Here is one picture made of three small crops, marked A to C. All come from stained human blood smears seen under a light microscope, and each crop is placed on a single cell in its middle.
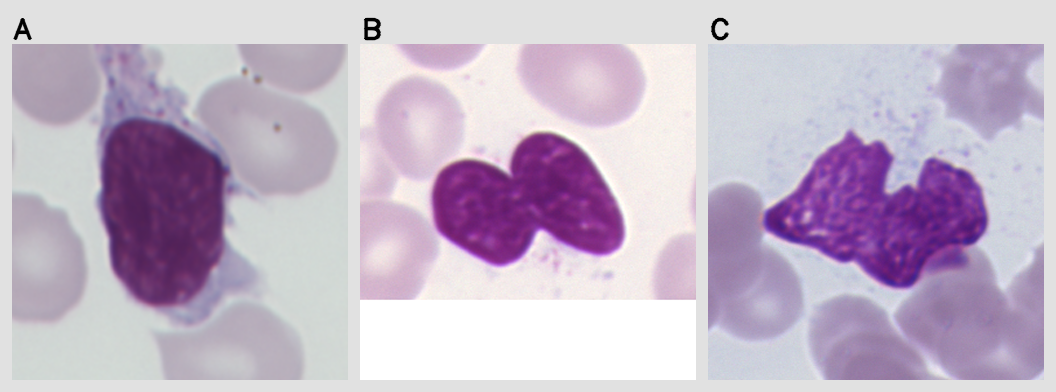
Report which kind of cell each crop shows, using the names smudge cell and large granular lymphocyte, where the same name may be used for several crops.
A: large granular lymphocyte
B: smudge cell
C: smudge cell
